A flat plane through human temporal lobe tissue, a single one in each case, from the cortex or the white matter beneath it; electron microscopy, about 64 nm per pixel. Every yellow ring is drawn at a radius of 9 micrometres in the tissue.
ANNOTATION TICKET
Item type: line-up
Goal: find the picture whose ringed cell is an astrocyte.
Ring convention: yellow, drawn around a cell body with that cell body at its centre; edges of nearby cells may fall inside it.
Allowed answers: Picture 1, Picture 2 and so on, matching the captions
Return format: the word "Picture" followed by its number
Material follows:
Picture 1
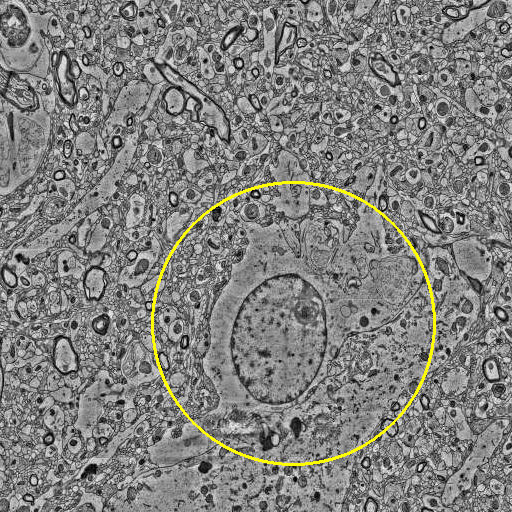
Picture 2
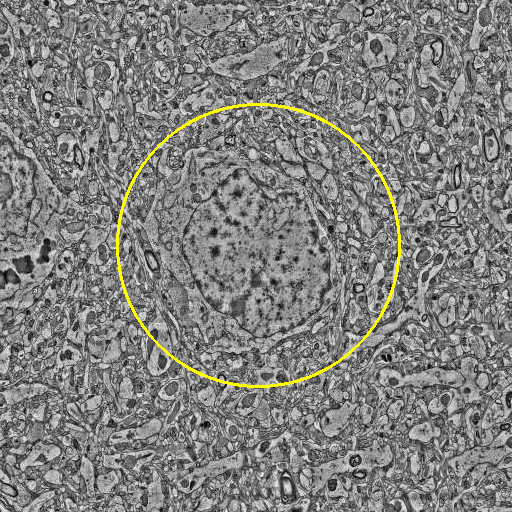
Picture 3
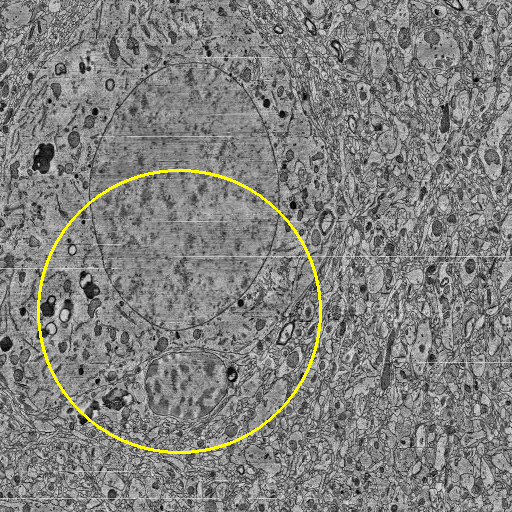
Picture 1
